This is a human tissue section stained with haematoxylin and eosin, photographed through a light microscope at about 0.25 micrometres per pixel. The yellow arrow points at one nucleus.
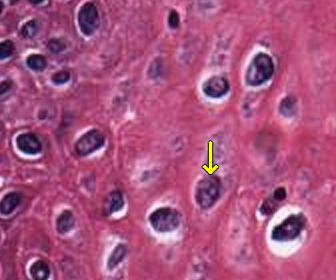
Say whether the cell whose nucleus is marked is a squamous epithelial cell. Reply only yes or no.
yes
